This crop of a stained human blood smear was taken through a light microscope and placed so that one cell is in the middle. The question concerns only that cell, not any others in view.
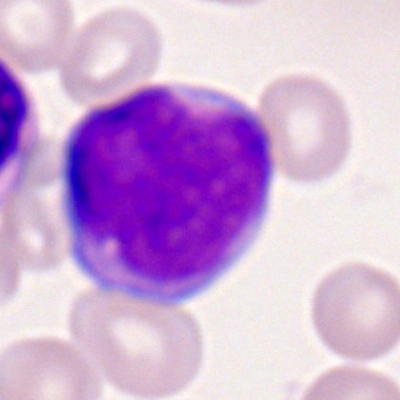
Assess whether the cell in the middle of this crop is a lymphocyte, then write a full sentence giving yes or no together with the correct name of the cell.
No, the cell in the middle is correctly named a blast, not a lymphocyte.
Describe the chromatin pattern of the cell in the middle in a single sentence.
What stands out is fine chromatin lacking any coarse clumps.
